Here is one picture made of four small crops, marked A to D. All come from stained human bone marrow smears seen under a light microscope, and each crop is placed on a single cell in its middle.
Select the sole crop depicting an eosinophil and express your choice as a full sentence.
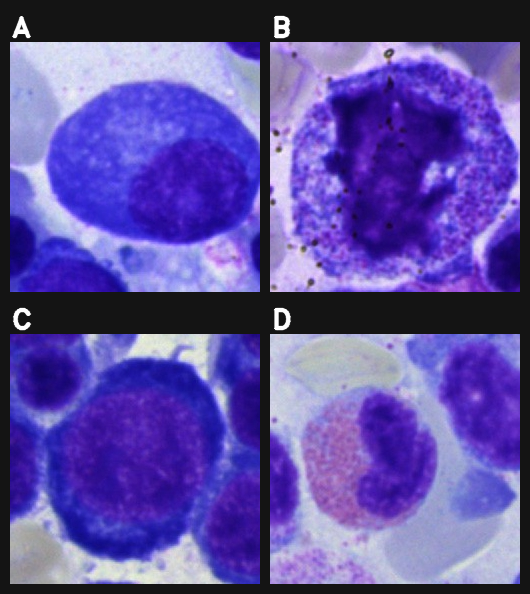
Crop D is the crop in which an eosinophil is shown.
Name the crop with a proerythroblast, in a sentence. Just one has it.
Crop C is the crop that shows a proerythroblast in its middle.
